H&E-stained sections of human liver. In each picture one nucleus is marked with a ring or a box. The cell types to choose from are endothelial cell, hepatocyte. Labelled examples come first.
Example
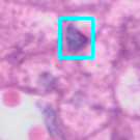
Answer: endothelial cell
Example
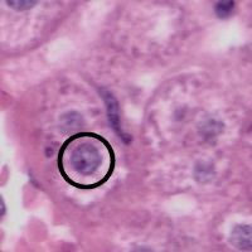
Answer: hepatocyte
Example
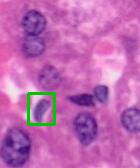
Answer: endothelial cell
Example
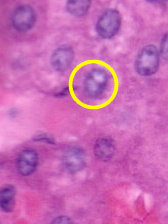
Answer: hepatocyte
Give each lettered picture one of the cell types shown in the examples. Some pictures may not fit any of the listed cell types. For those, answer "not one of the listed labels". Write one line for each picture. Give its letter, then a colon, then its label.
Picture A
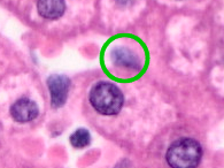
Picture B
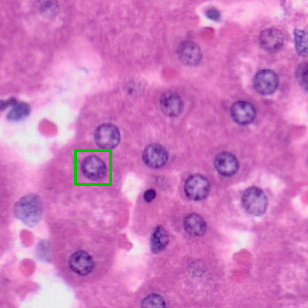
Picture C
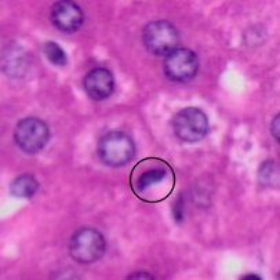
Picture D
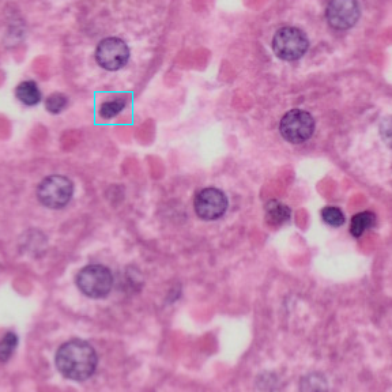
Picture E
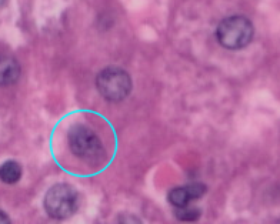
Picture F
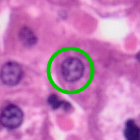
A: endothelial cell
B: hepatocyte
C: endothelial cell
D: not one of the listed labels
E: endothelial cell
F: hepatocyte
